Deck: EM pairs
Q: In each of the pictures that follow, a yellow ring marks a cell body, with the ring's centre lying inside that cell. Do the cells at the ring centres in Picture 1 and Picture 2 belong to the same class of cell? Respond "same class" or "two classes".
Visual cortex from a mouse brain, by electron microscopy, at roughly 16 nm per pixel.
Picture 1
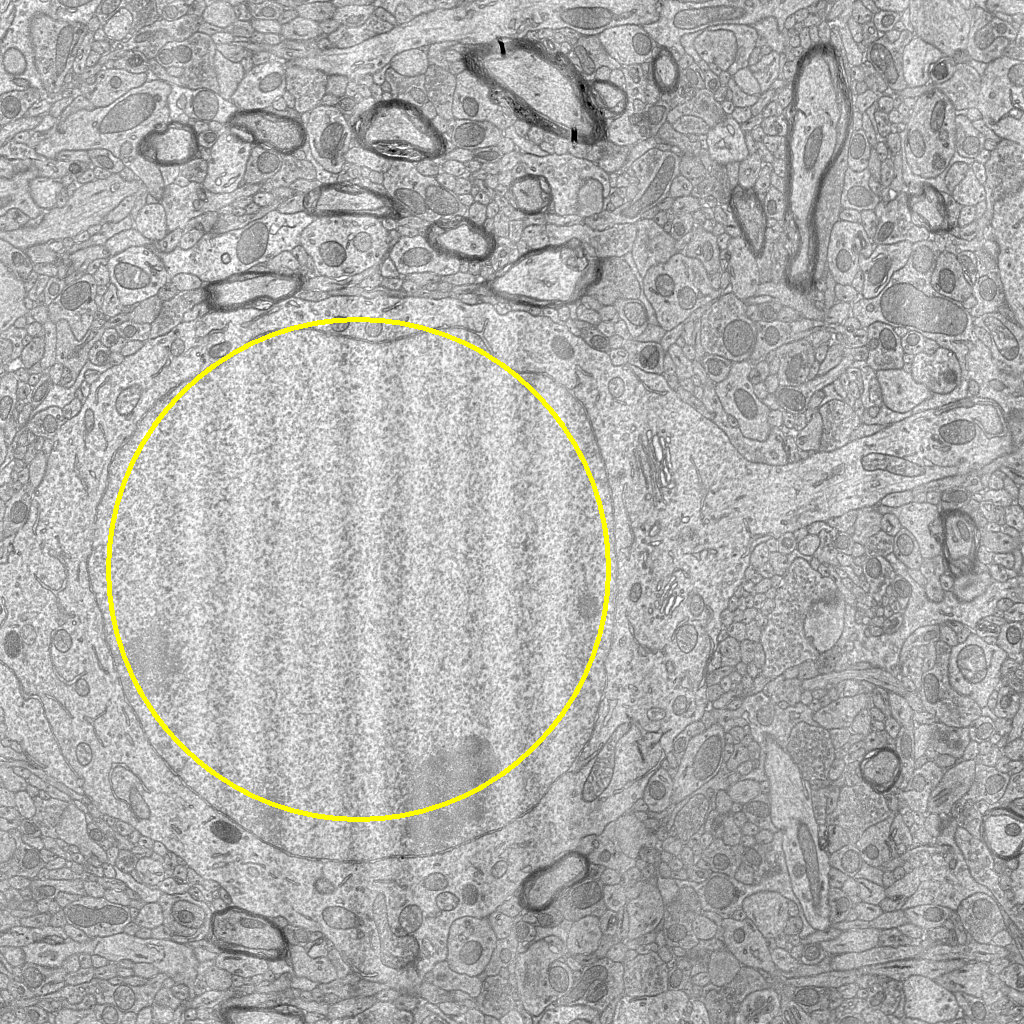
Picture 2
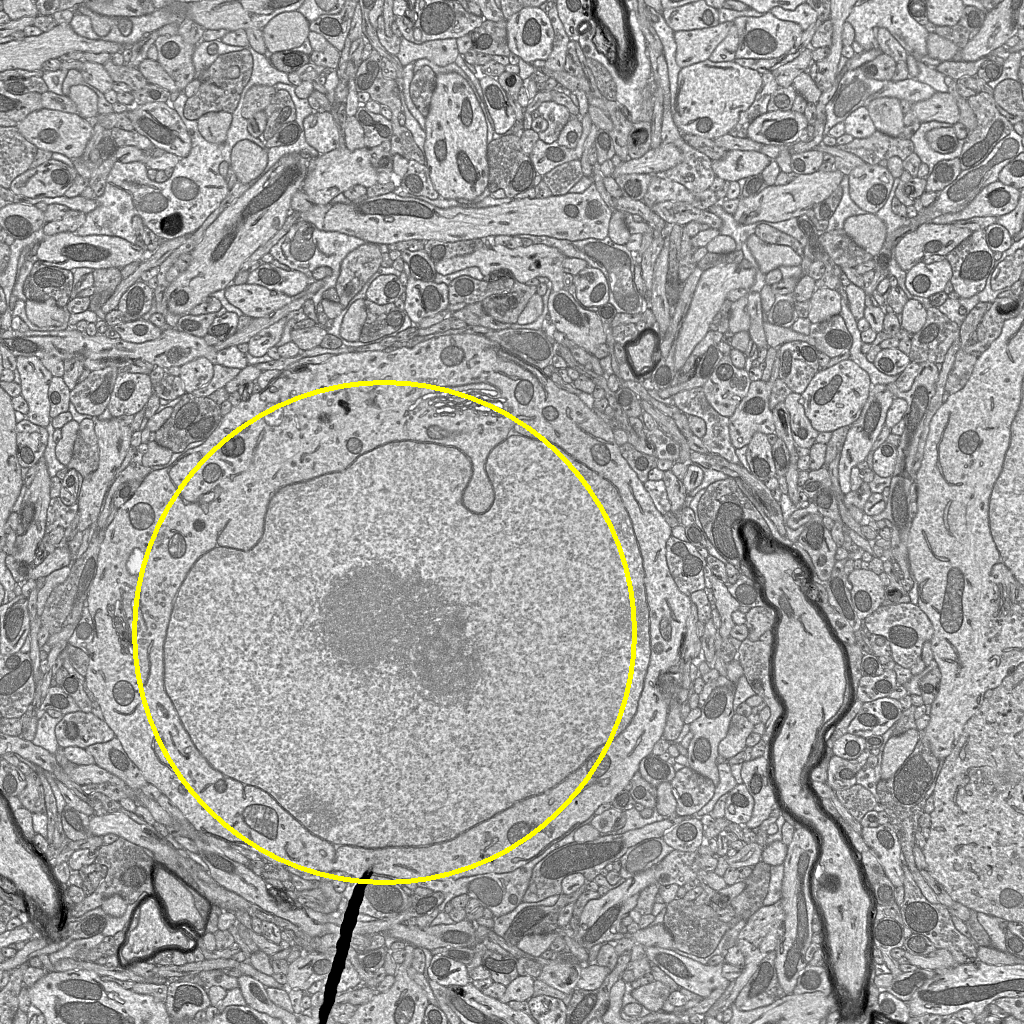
same class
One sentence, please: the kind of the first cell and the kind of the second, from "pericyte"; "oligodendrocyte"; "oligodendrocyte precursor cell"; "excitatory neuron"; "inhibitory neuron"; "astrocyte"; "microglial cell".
The second cell is an excitatory neuron, just as the first is.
